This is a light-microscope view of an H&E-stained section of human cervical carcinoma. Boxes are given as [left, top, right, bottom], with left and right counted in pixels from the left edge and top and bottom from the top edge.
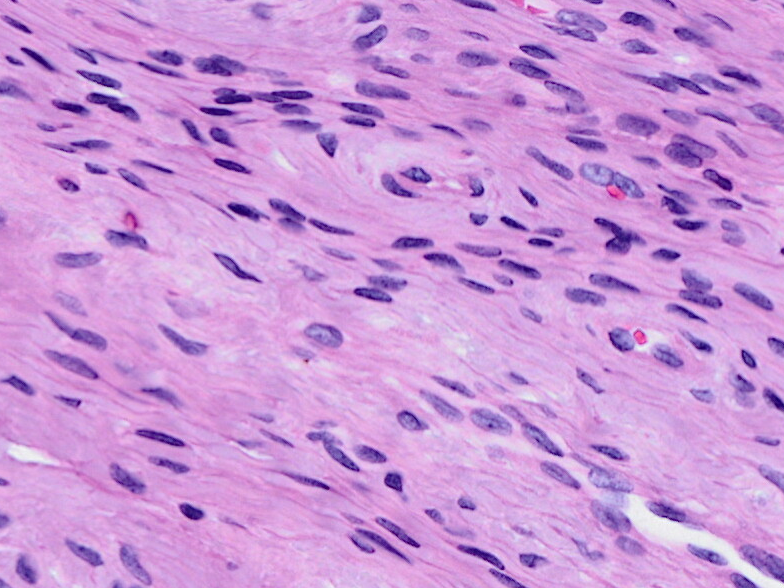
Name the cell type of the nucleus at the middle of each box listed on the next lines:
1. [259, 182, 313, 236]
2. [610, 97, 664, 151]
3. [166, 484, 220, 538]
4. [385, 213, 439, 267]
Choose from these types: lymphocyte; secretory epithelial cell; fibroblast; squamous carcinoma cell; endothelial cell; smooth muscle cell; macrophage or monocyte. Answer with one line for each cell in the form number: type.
1: fibroblast
2: fibroblast
3: lymphocyte
4: fibroblast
